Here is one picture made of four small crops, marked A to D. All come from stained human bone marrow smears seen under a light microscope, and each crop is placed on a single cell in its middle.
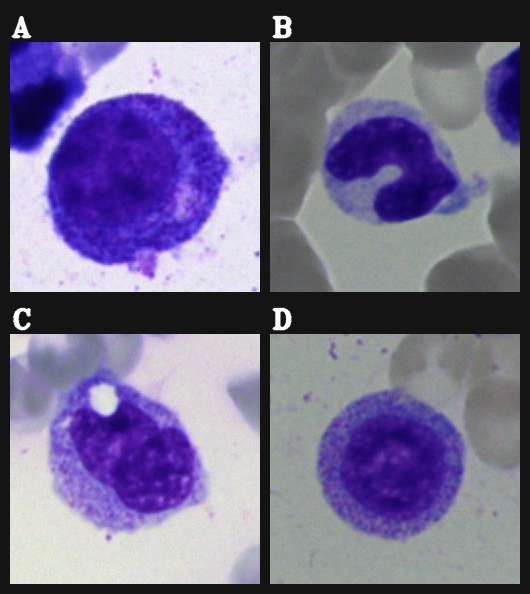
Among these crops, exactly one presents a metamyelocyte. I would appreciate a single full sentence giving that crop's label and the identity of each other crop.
It is crop C that shows a metamyelocyte, while crop A is a promyelocyte, crop B is a band neutrophil and crop D is a myelocyte.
